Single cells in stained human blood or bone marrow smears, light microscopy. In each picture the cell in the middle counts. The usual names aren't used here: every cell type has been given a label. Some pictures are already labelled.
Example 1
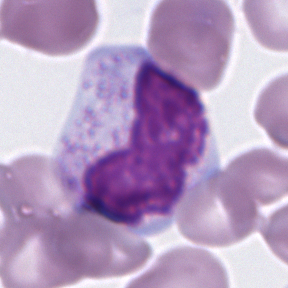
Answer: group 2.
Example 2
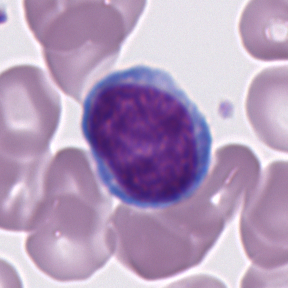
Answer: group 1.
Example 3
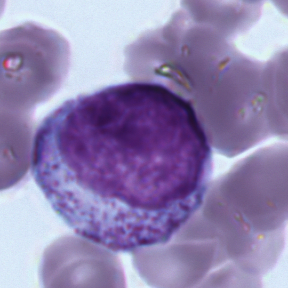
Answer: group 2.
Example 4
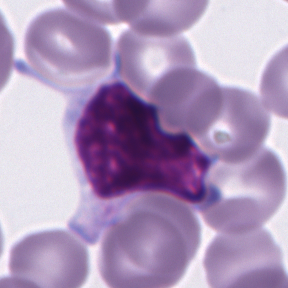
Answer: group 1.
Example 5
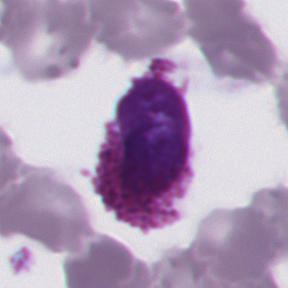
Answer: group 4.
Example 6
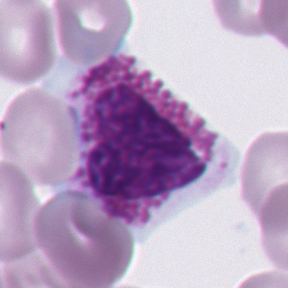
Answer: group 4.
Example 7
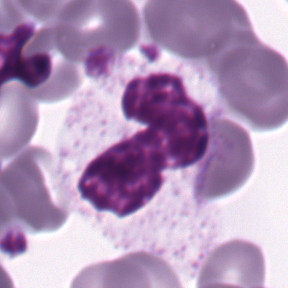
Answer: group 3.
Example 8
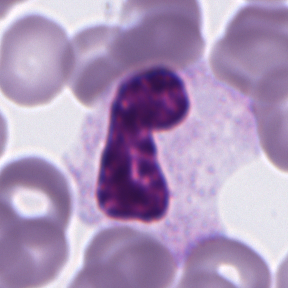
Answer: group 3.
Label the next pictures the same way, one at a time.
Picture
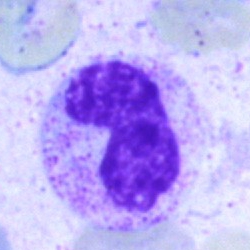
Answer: group 3.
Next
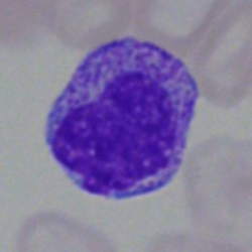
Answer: group 2.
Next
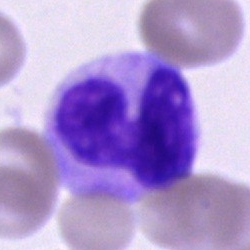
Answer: group 3.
